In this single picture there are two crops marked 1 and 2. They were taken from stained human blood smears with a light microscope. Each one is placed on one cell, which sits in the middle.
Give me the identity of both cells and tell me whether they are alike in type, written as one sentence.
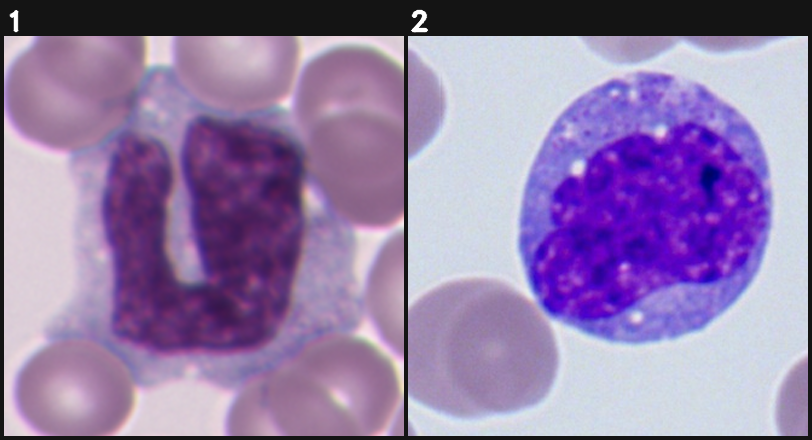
Yes, as an answer for this item, both crops show monocytes.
